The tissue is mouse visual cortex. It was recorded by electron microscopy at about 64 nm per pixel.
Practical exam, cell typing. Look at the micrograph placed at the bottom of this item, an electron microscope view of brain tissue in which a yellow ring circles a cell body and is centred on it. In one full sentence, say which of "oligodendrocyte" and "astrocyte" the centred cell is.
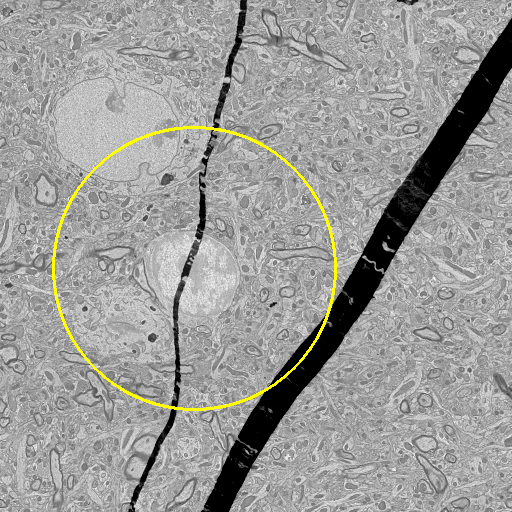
Given the options, an oligodendrocyte fits the cell whose body the yellow ring is centred on.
